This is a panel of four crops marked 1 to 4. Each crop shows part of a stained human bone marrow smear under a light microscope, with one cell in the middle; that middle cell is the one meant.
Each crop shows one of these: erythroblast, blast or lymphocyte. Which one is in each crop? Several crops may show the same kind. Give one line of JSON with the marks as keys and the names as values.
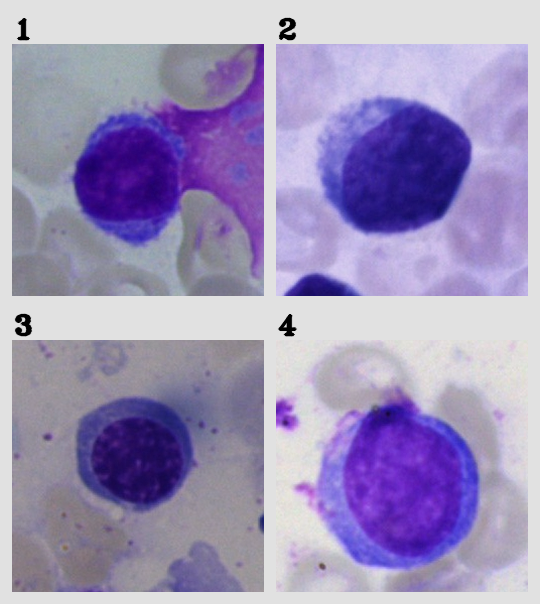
{"1": "lymphocyte", "2": "blast", "3": "erythroblast", "4": "blast"}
